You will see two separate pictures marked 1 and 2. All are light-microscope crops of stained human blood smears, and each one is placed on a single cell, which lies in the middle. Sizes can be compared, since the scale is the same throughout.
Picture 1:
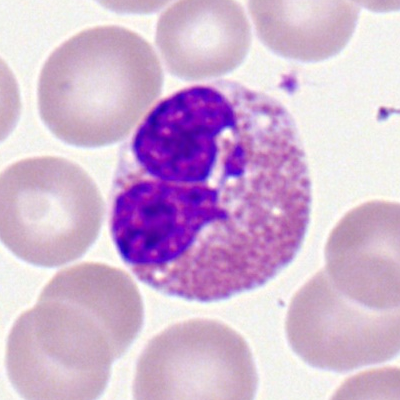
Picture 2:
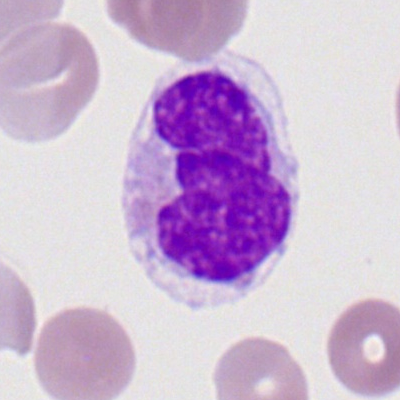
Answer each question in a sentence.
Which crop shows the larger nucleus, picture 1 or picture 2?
Larger is the nucleus in picture 2, at roughly 1.5 times the area of the other.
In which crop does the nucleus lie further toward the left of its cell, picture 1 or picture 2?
Seen within its cell, the nucleus in picture 1 lies further toward the left.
